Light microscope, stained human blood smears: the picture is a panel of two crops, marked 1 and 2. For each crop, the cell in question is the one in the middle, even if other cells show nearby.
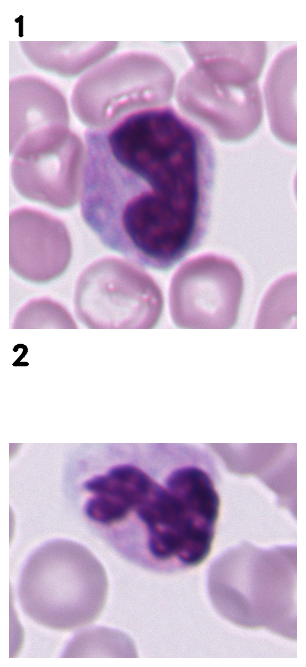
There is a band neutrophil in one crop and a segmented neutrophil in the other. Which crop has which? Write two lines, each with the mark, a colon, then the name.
1: band neutrophil
2: segmented neutrophil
